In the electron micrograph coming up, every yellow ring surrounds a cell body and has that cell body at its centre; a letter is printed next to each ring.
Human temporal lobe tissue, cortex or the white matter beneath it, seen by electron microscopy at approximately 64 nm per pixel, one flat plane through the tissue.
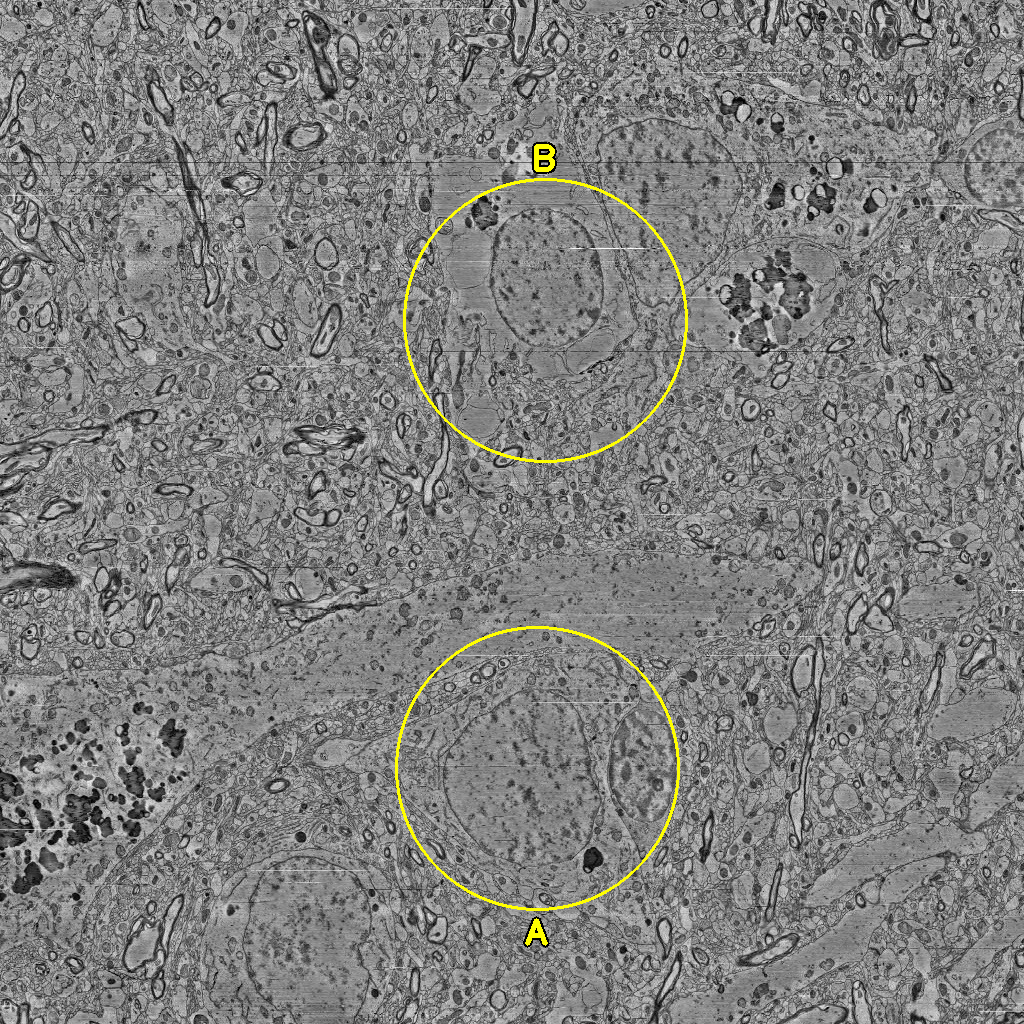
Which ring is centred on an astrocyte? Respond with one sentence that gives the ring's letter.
Ring B is the one whose centre sits on the cell asked for in the picture.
